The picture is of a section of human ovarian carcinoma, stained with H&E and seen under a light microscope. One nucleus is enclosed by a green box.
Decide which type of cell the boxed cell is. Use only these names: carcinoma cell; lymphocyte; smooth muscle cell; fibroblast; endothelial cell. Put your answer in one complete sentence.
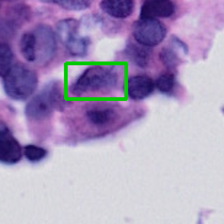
By cell type, the boxed cell is a carcinoma cell.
